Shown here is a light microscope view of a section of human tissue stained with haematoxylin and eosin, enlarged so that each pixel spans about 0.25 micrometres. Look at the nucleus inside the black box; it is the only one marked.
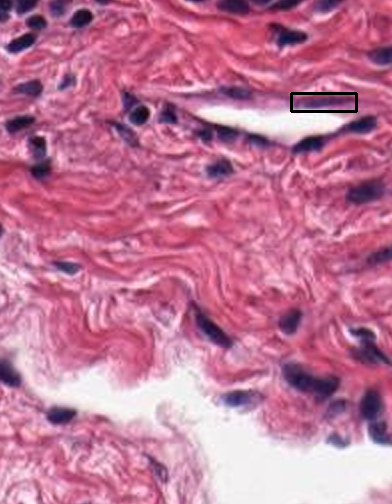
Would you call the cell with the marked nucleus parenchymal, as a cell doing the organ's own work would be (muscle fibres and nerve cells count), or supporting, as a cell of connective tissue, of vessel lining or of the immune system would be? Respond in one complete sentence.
Designated as that of a supporting cell is the marked nucleus.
